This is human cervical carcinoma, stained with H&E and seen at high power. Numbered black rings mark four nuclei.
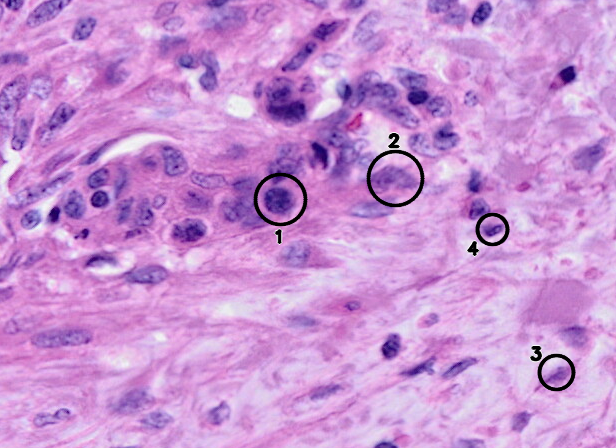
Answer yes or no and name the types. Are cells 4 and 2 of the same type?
No, cell 4 is a lymphocyte and cell 2, for its part, is an endothelial cell.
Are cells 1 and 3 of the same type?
No, cell 1 is a squamous carcinoma cell, and as for cell 3, it is a fibroblast.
